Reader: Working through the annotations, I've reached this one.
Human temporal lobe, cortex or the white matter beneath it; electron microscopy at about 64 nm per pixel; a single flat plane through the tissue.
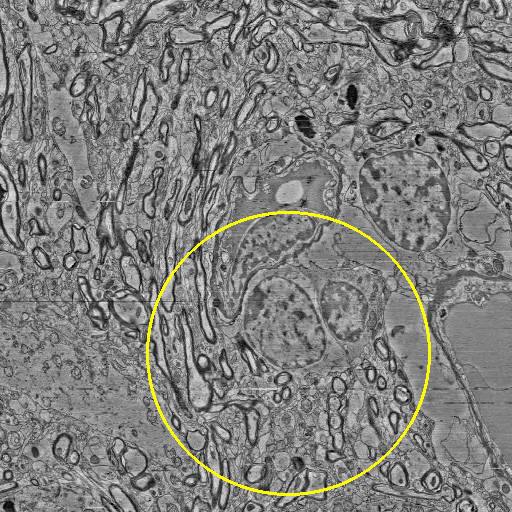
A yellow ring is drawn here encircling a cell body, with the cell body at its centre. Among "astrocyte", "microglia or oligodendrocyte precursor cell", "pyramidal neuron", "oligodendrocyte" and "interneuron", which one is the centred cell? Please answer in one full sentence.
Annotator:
The cell body at the centre of the yellow ring in this image belongs to a microglial cell or oligodendrocyte precursor cell.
